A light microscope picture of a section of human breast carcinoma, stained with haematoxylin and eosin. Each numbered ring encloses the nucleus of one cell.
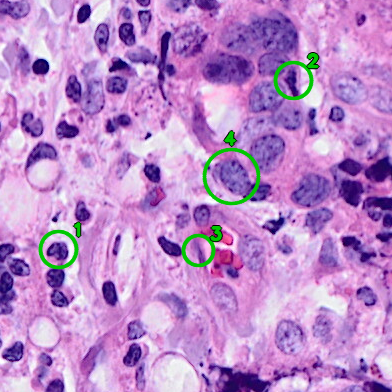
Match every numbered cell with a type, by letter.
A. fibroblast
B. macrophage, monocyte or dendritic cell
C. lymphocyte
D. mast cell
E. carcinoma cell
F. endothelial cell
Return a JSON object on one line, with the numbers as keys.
{"1": "C", "2": "E", "3": "F", "4": "E"}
